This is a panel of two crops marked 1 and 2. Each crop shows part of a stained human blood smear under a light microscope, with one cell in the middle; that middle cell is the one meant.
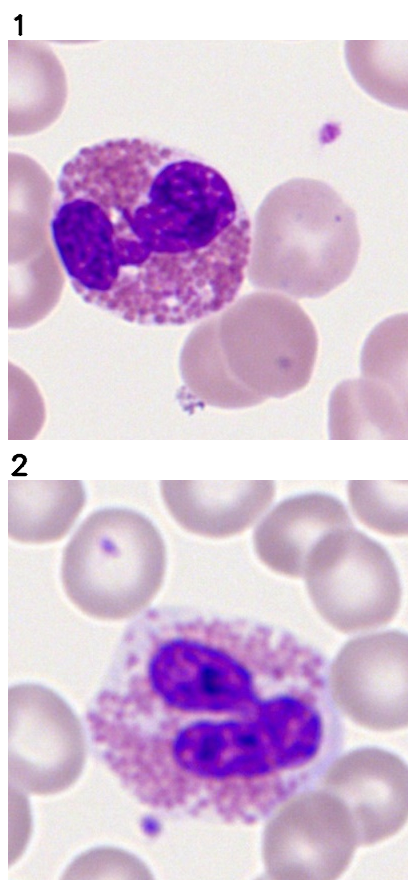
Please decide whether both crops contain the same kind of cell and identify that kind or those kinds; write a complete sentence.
Yes, the two crops share the same answer, eosinophils.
